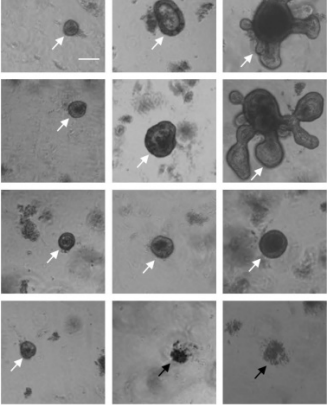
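In some rows the organoids enlarge into large structures with a dark central body from which several rounded buds project outward, each bud bounded by a thin epithelial wall. In the bottom row the structures become dark, shrunken, fragmented clumps with ragged edges, lacking any clear wall or lumen. Scattered debris and out-of-focus particles lie in the surrounding matrix.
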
